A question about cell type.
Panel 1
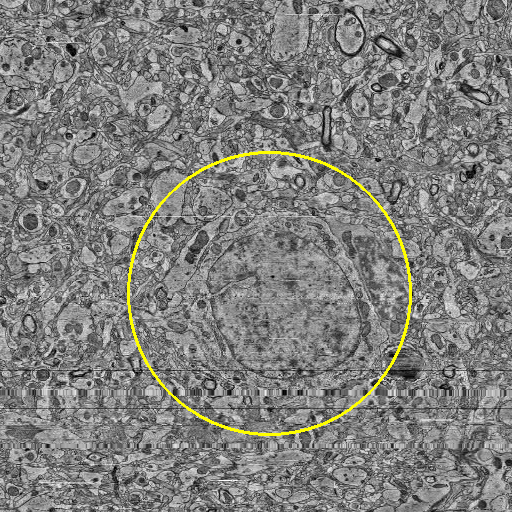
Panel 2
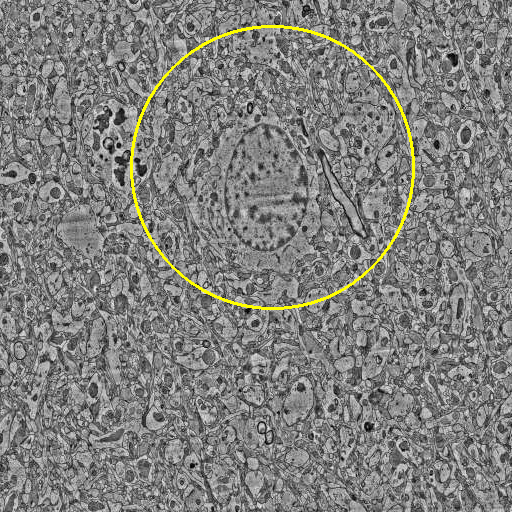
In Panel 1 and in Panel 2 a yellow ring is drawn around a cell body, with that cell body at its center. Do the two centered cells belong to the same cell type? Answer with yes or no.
no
